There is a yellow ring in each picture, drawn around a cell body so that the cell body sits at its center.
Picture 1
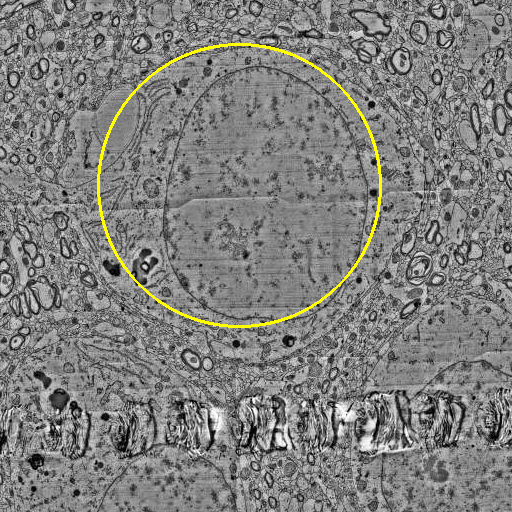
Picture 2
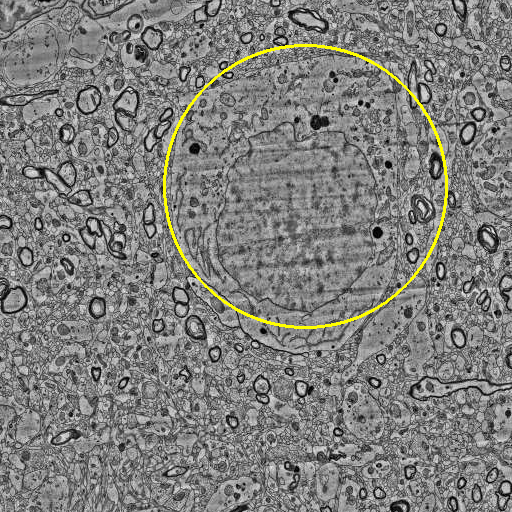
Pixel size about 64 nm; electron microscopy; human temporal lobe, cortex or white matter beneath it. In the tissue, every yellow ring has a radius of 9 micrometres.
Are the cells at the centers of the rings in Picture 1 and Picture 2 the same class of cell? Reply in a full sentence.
Yes, the two cells are the same class of cell.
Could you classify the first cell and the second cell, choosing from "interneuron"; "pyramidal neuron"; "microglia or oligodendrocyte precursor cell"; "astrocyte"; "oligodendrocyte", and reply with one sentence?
In the first picture and in the second, the ring is centred on a pyramidal neuron.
